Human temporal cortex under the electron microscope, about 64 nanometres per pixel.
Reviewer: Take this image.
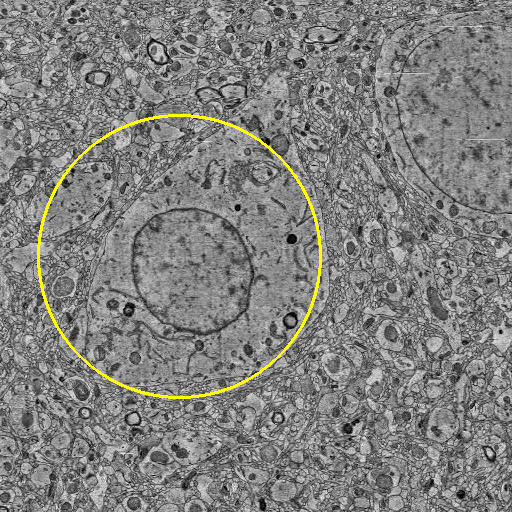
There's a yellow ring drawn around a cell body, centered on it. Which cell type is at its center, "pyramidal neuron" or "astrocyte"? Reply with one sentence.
At the center of the yellow ring is a pyramidal neuron.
